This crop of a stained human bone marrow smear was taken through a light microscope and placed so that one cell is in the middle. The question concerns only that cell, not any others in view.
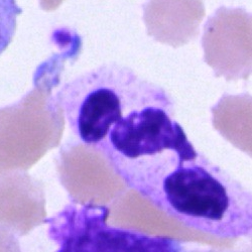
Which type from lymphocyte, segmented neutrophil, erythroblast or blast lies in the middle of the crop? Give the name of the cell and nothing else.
segmented neutrophil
